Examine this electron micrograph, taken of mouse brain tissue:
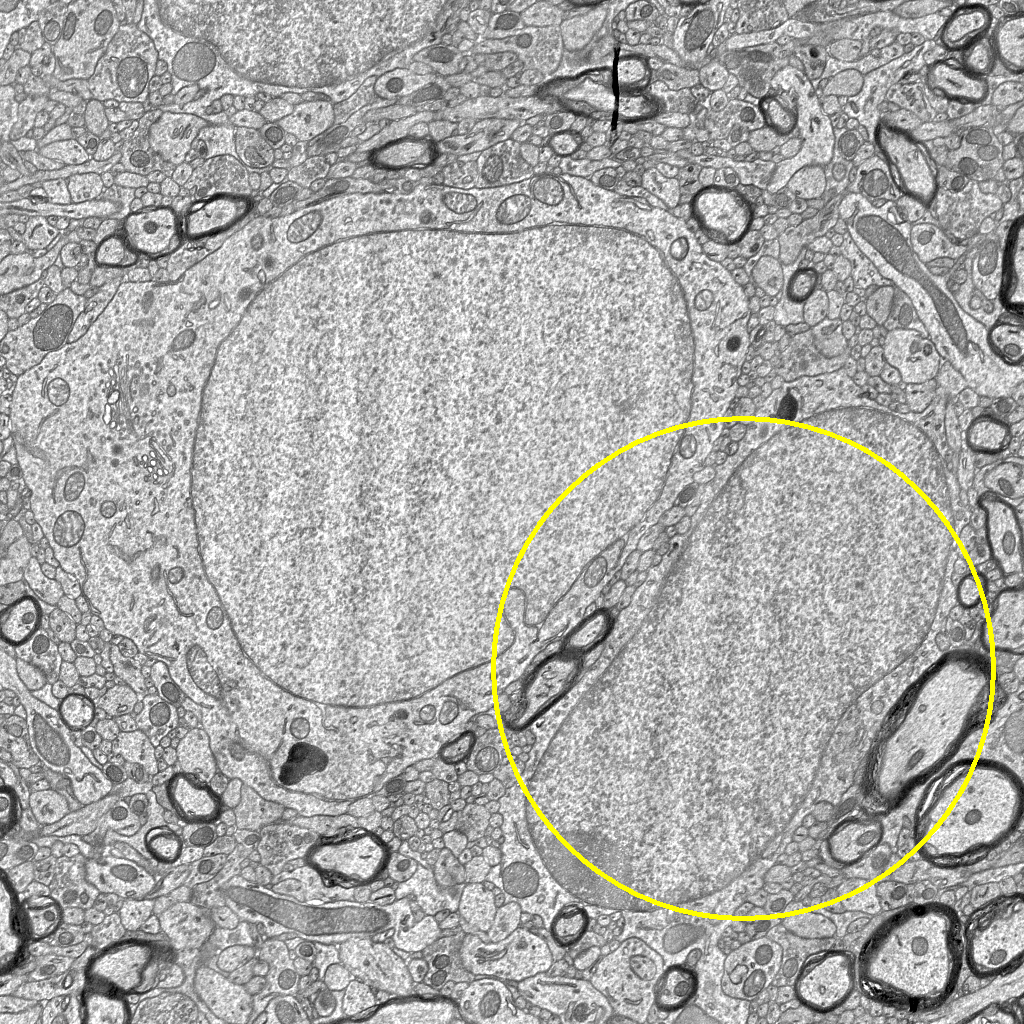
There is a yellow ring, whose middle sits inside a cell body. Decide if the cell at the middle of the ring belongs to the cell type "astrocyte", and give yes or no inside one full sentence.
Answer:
Yes, the cell at the centre of the yellow ring in this picture is of that type.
